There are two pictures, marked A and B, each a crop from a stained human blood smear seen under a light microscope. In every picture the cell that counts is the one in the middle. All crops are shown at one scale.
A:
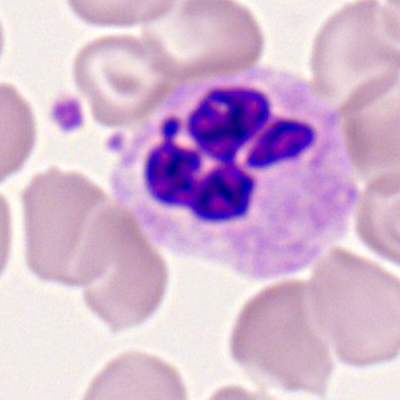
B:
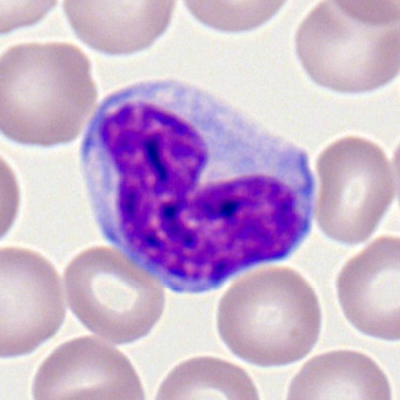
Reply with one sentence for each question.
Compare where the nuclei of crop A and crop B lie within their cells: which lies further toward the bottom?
It is the nucleus in crop B that lies further toward the bottom of its cell.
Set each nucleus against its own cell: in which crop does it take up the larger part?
Of the two, the nucleus in crop B makes up the greater part of its cell.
